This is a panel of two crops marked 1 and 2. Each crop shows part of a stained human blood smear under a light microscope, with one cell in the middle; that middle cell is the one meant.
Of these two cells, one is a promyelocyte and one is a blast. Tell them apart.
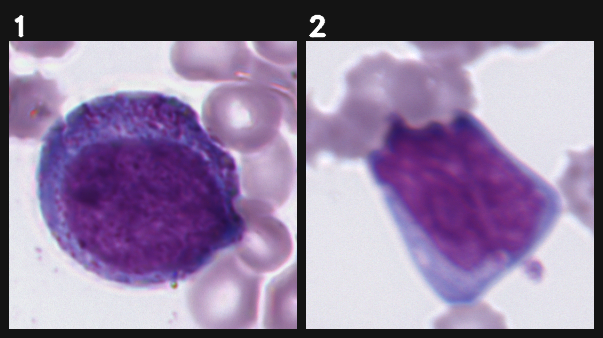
1: promyelocyte
2: blast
